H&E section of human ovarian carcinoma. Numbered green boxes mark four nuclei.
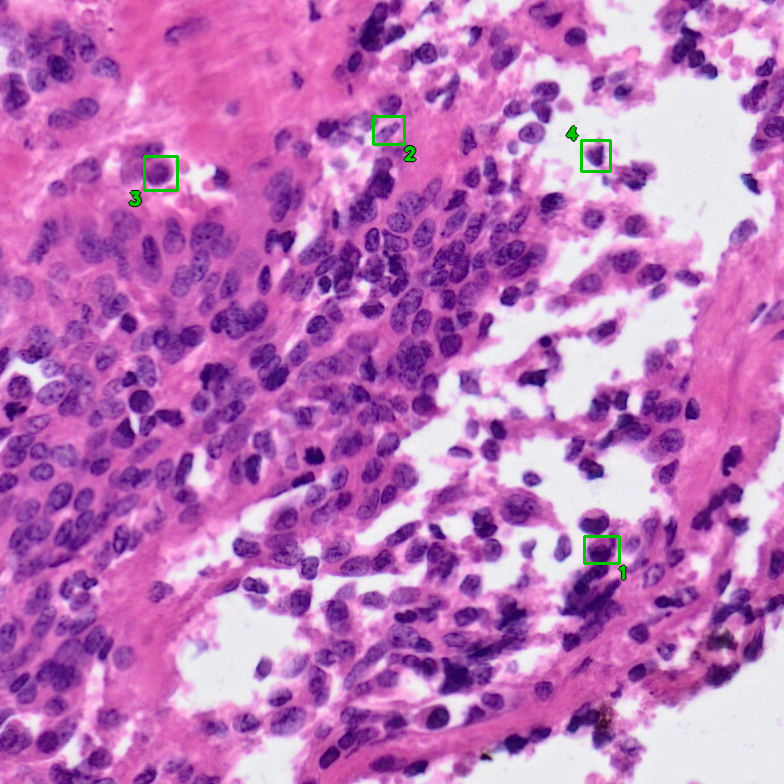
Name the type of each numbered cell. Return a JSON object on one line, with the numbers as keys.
{"1": "carcinoma cell", "2": "macrophage or monocyte", "3": "carcinoma cell", "4": "carcinoma cell"}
